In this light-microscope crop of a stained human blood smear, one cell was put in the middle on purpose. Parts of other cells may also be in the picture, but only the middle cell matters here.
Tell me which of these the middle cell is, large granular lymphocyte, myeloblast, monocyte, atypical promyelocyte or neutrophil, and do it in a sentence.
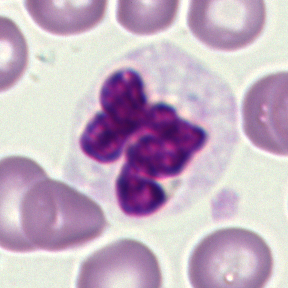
At the middle of the frame sits a neutrophil.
